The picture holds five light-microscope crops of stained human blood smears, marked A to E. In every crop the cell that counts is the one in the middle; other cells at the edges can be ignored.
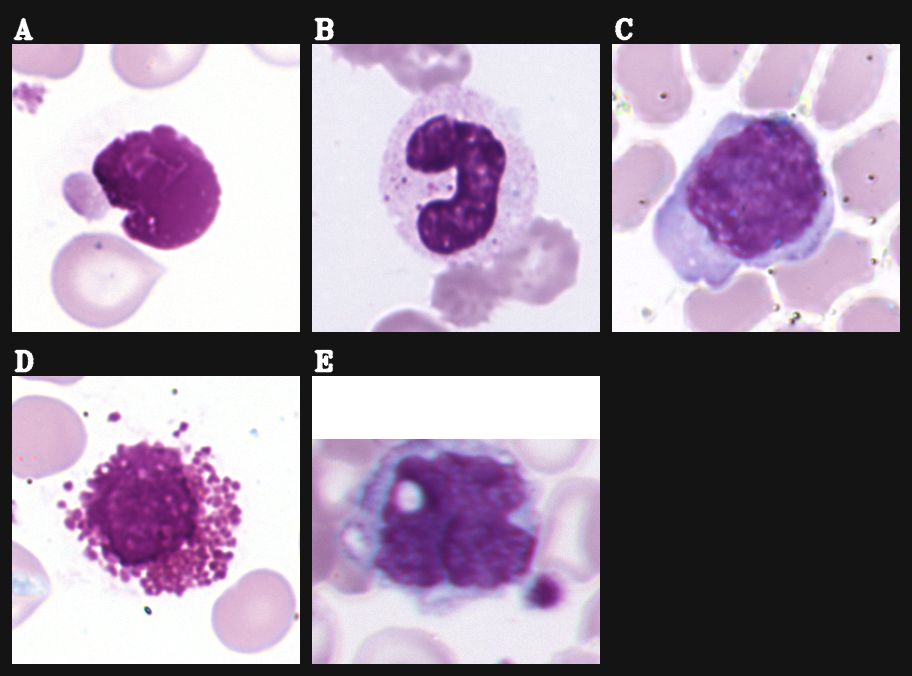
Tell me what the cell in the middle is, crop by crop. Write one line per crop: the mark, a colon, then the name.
A: smudge cell
B: band neutrophil
C: plasma cell
D: eosinophil
E: monocyte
